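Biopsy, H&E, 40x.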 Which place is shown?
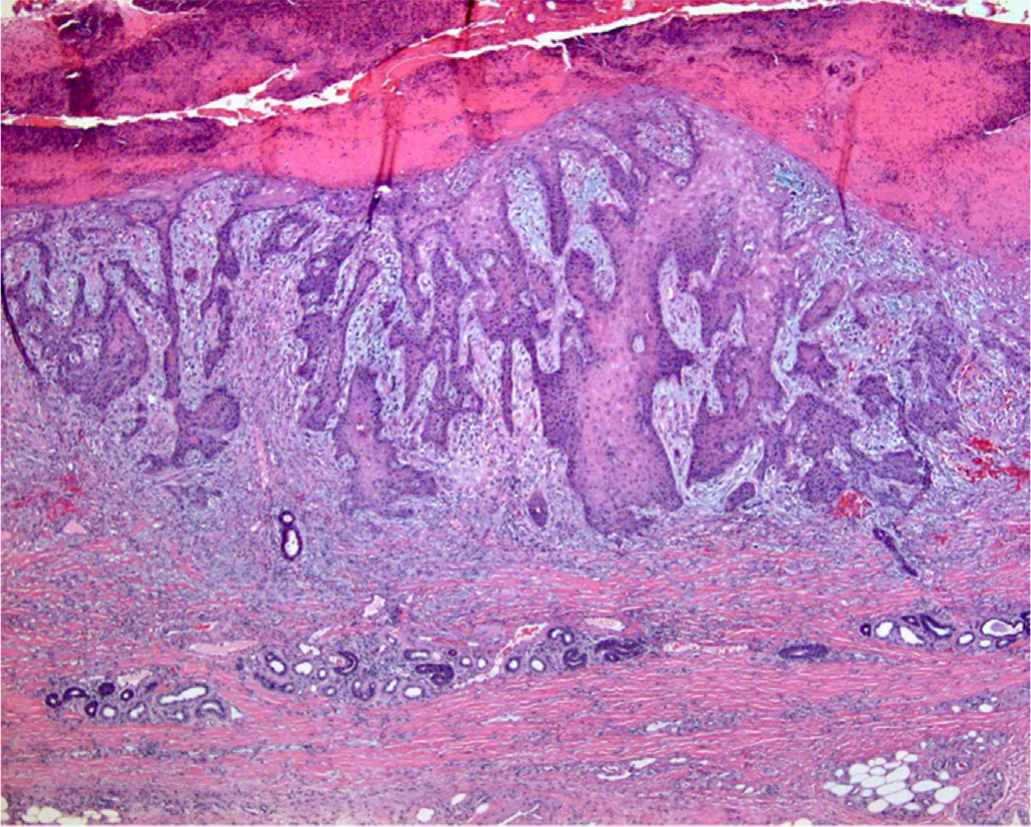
dermis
